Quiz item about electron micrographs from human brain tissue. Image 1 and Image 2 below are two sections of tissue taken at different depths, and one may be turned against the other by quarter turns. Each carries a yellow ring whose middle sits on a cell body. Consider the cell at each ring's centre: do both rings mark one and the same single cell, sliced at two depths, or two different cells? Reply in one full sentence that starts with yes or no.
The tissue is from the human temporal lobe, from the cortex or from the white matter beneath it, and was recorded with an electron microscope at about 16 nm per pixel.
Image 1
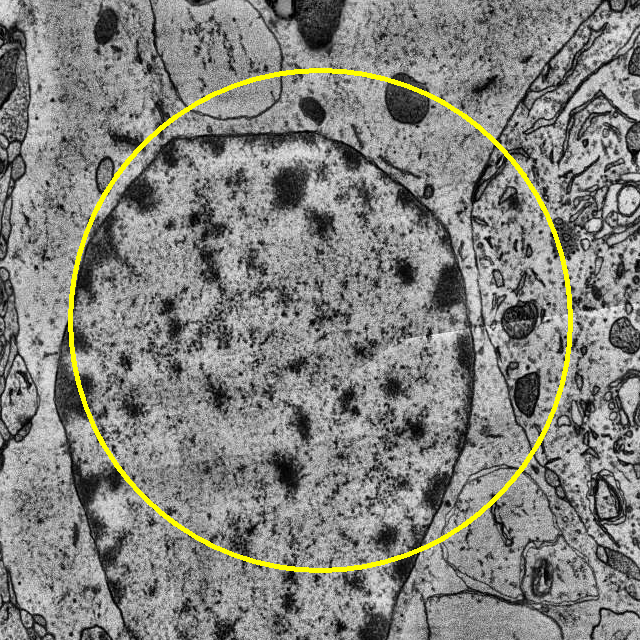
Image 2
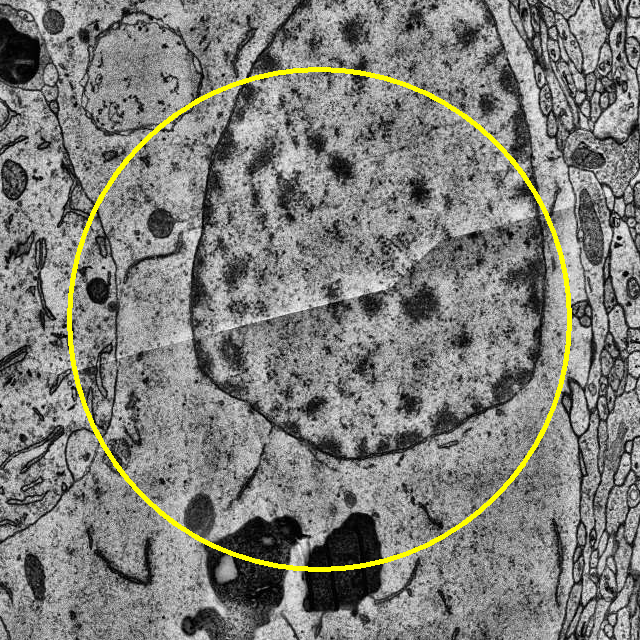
Yes, the two yellow circles hold the same cell.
